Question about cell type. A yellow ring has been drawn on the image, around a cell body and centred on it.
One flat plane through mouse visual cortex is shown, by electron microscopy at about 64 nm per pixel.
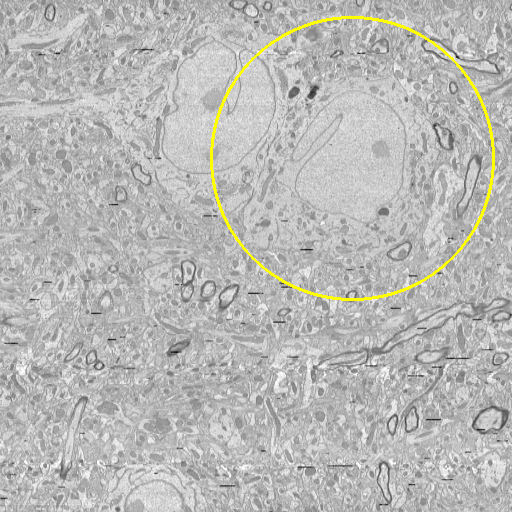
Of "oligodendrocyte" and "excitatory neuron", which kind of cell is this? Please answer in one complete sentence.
At the centre of the ring lies an excitatory neuron.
